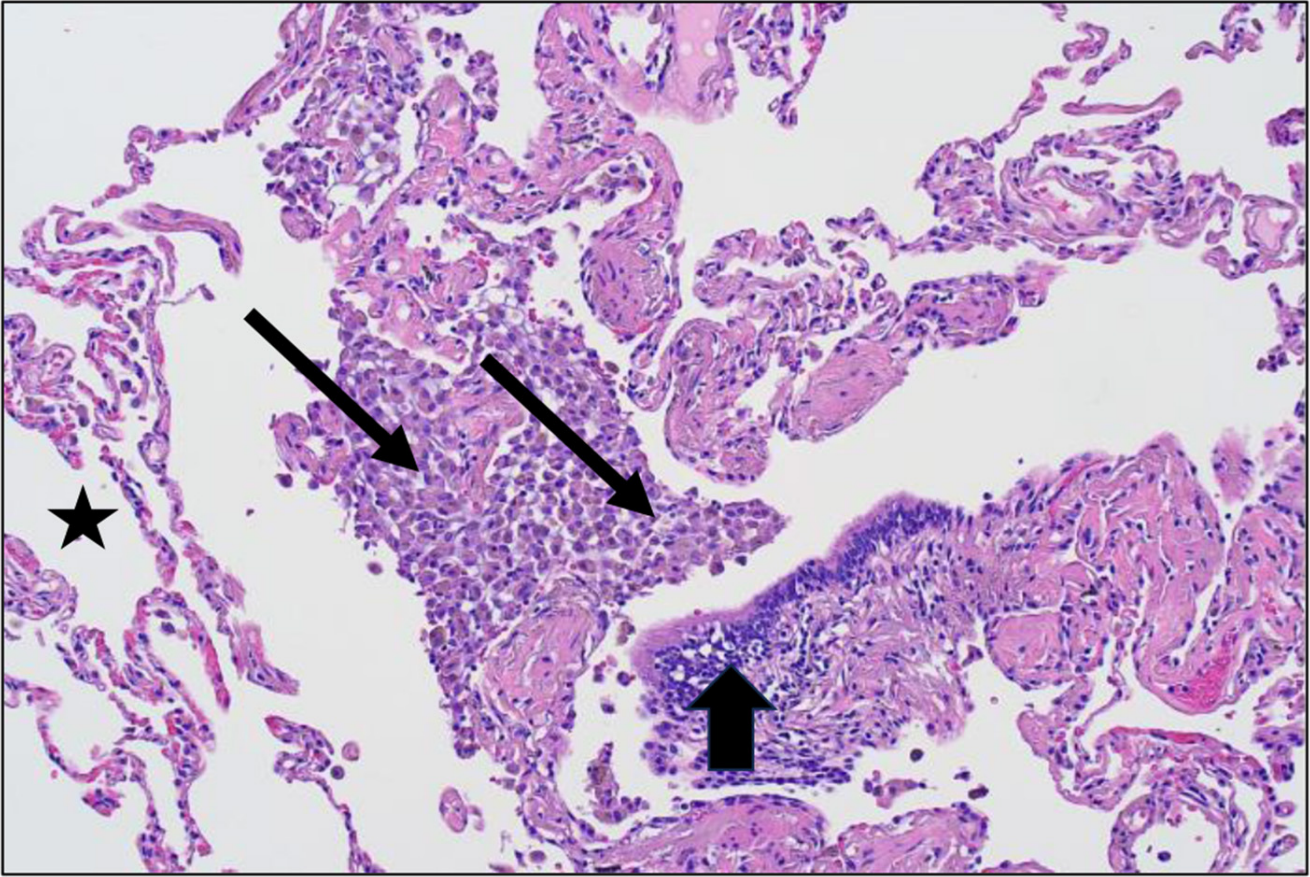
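Lung tissue in which a dense cluster of macrophages with abundant cytoplasm holding brownish granular pigment fills the airspace of a respiratory bronchiole. Nearby a terminal bronchiole is lined by tall columnar epithelium with crowded purple nuclei over pink connective tissue, while the surrounding alveolar region shows thin septa around largely empty airspaces. Some walls near the airway are thickened by pink fibrous tissue.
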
